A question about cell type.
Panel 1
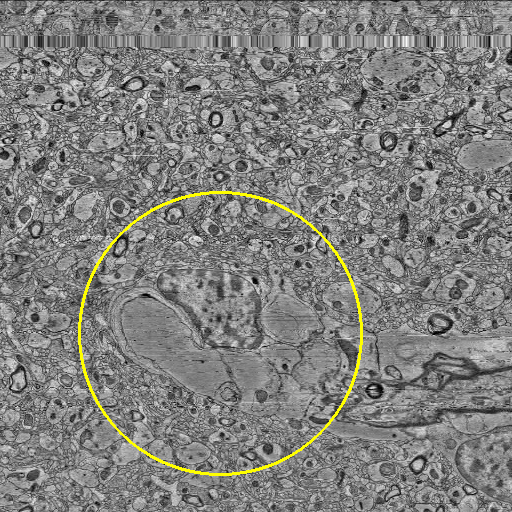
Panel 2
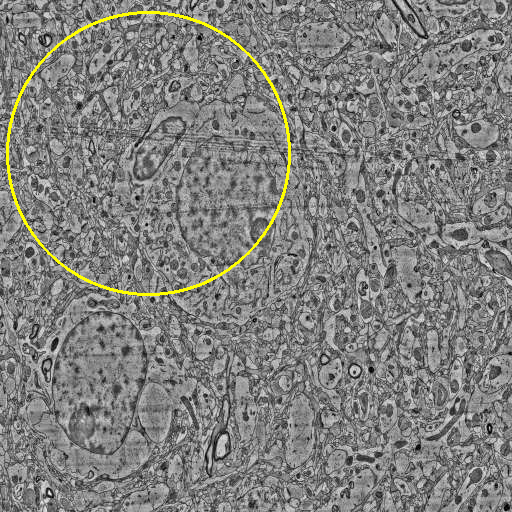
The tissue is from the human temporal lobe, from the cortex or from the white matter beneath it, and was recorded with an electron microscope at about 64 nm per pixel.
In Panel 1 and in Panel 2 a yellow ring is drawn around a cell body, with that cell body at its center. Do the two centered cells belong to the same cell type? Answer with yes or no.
yes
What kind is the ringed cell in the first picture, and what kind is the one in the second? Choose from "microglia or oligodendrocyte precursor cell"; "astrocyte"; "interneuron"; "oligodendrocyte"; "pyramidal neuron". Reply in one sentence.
Each of the ringed cells, first and second, is a microglial cell or oligodendrocyte precursor cell.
